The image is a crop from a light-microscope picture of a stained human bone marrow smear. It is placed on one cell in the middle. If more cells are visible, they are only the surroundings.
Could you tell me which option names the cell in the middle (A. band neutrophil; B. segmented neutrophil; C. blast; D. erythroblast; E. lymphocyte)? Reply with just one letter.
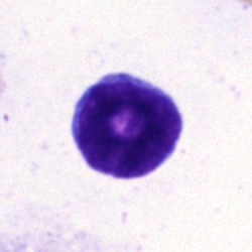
E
